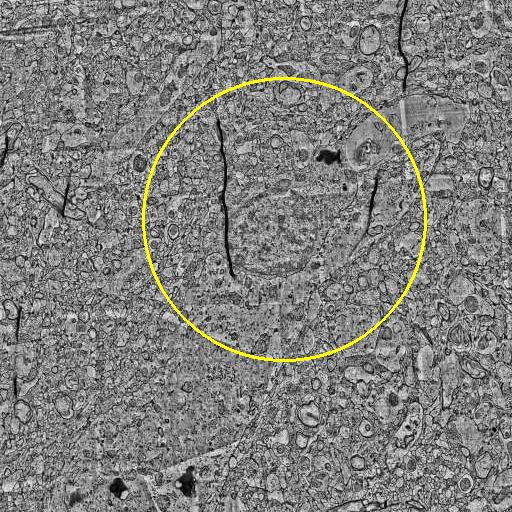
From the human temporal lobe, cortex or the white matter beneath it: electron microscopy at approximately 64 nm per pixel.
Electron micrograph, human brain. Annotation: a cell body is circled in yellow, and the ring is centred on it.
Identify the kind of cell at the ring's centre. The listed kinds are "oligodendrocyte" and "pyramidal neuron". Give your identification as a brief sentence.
The circled cell body is that of an oligodendrocyte.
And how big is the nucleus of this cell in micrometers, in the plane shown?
In this plane, approximately 6 micrometres across.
